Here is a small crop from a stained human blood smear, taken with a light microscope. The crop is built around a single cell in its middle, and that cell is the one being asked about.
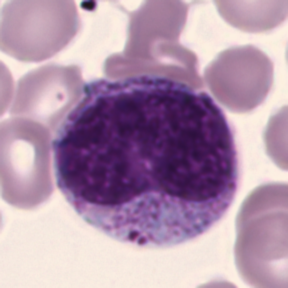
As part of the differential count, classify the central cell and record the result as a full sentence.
Among the cells in view, the one in the middle is a myelocyte.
